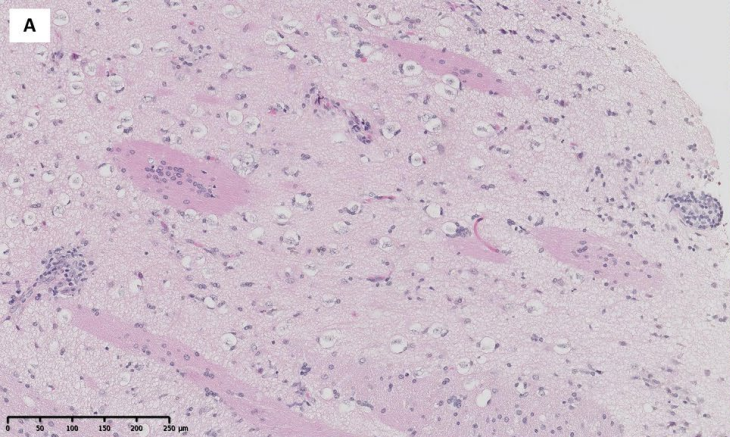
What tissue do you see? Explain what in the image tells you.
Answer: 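Brain parenchyma. Pale, finely fibrillar, vacuolated tissue with scattered small nuclei. Small clusters of dark nuclei around vessels within the pale tissue.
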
